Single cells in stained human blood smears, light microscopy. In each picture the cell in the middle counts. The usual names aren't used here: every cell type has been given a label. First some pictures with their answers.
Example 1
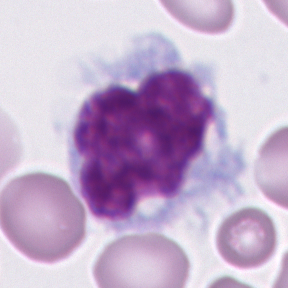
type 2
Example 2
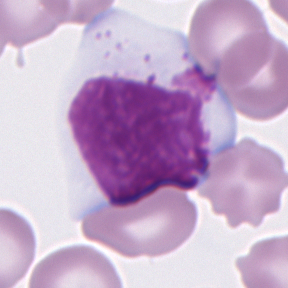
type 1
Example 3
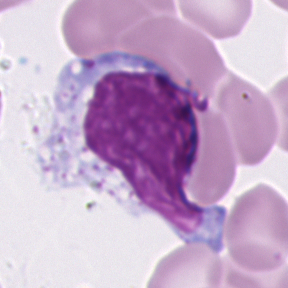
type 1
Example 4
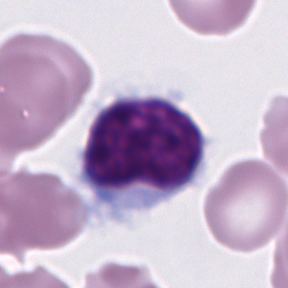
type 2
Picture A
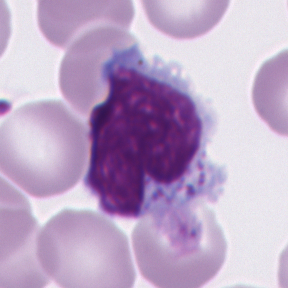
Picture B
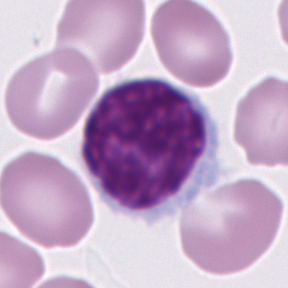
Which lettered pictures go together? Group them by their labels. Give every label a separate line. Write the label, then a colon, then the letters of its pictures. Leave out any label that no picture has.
type 2: B
type 1: A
